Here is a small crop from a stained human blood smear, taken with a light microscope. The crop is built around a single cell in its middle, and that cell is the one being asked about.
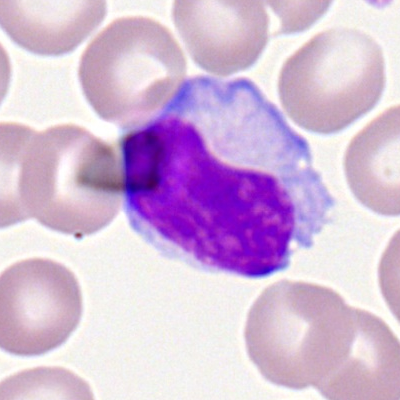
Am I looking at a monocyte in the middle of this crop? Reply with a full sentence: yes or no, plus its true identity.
No, rather than being a monocyte, the central cell is a lymphocyte.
